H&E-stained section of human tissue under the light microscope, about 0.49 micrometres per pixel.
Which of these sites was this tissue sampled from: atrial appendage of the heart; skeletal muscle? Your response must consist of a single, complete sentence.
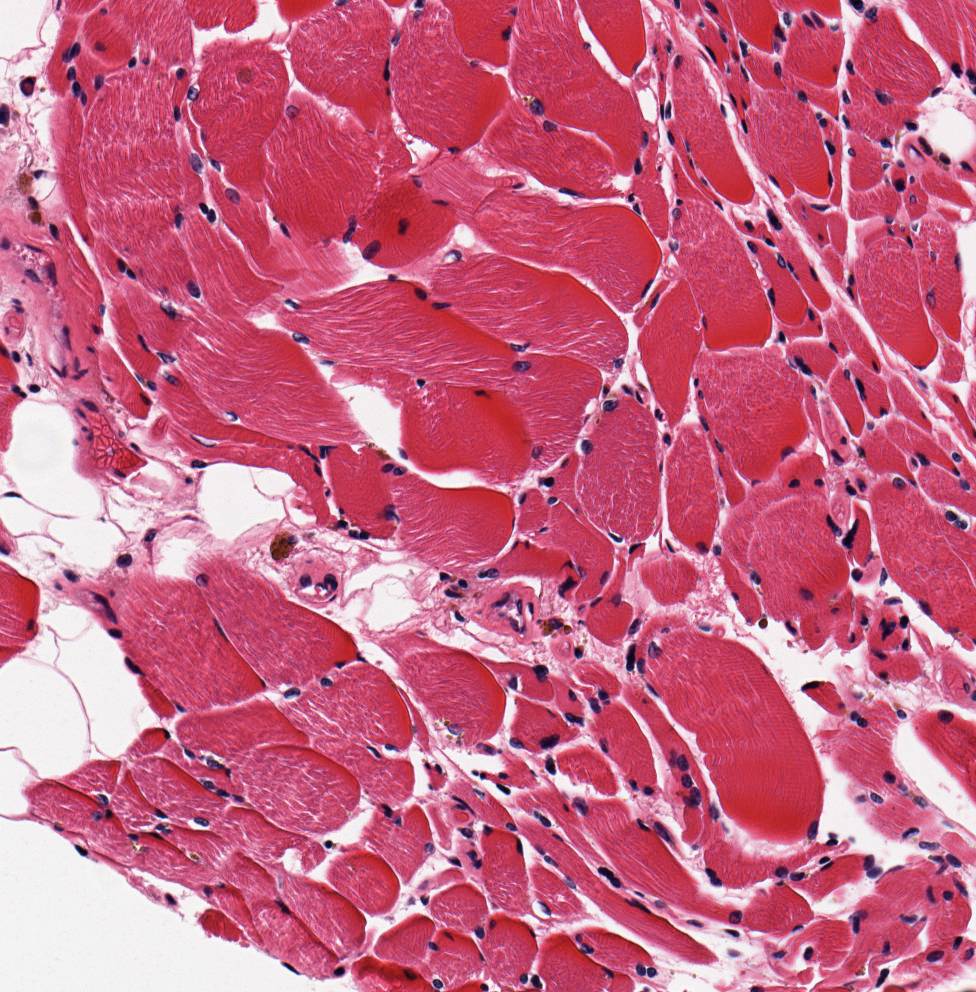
Tissue for this slide was taken from the skeletal muscle.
